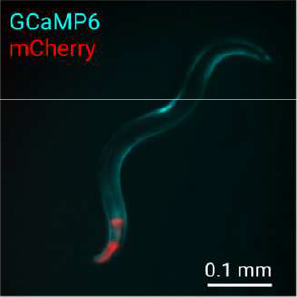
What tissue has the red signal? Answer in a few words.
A: Pharyngeal.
